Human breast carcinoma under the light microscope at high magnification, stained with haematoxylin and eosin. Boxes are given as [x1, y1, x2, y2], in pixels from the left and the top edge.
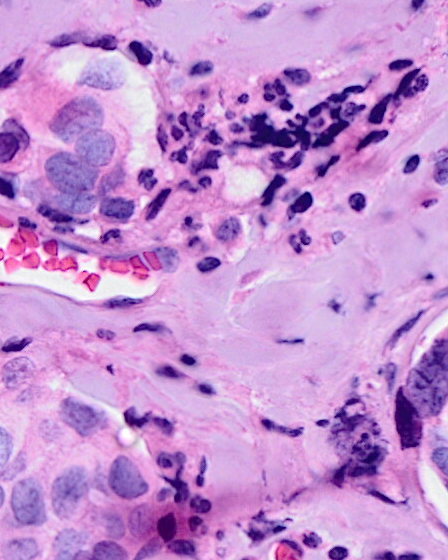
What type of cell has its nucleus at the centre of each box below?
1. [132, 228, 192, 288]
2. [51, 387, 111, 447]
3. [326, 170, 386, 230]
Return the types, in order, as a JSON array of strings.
["endothelial cell", "carcinoma cell", "lymphocyte"]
